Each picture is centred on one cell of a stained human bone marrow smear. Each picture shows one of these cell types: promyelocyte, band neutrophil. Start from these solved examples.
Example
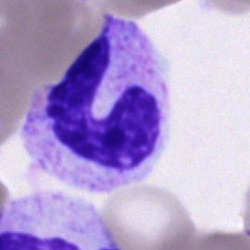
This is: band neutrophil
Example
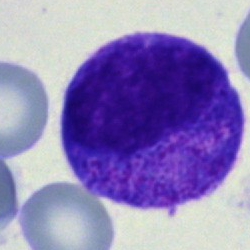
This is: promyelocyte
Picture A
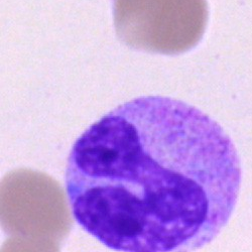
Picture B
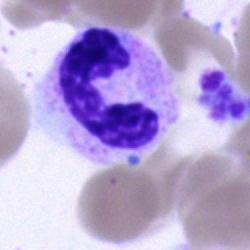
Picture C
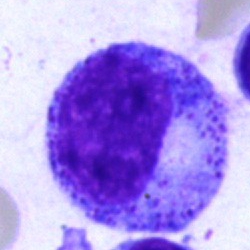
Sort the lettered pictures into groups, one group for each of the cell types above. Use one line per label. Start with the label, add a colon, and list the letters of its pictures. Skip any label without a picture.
promyelocyte: C
band neutrophil: A, B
